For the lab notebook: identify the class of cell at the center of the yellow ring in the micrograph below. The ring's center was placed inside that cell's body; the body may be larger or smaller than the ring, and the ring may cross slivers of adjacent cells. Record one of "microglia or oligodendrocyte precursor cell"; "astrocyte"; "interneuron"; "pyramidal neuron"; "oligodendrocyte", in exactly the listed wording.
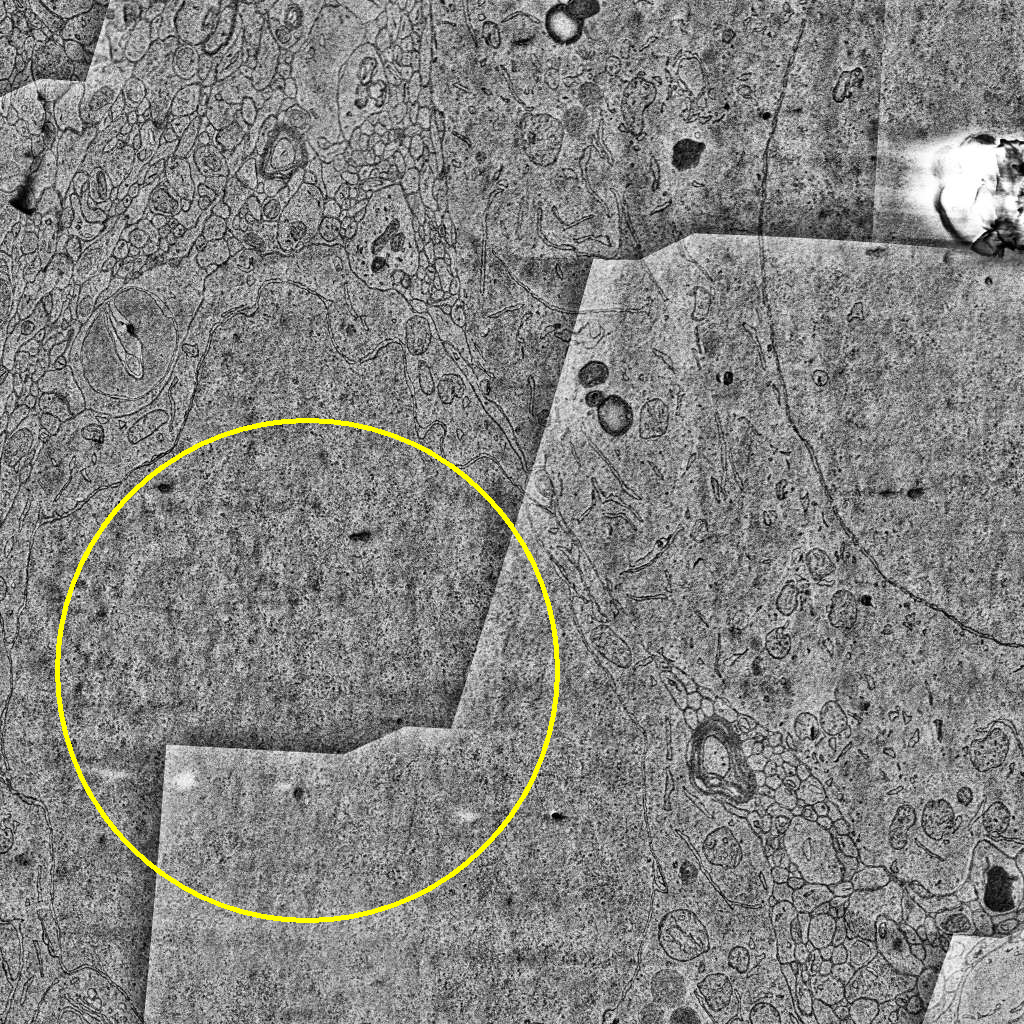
interneuron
